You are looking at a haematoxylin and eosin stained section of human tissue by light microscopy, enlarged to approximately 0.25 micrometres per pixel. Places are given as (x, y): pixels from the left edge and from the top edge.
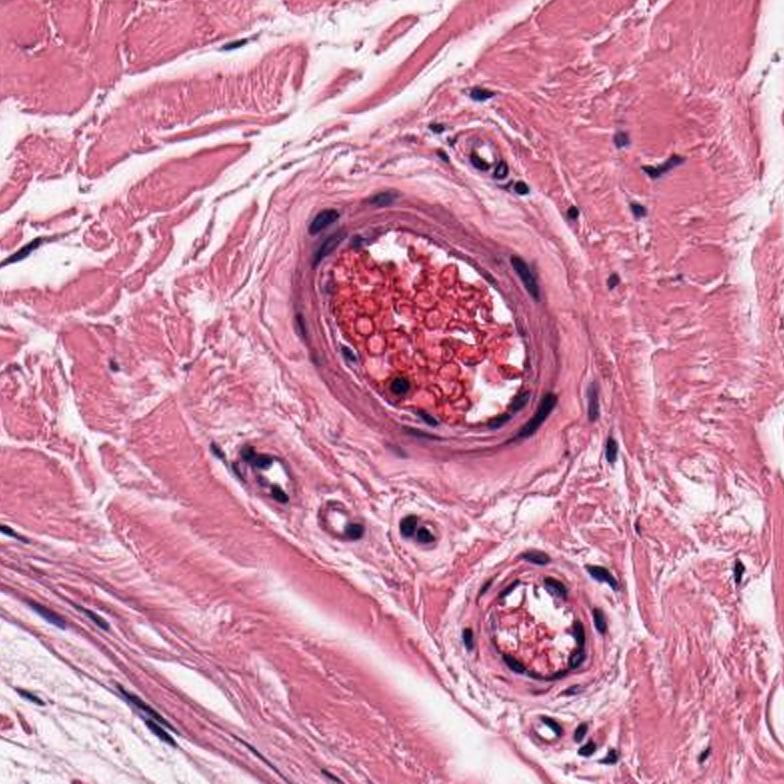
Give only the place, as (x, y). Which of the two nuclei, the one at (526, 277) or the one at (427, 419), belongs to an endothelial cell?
(427, 419)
